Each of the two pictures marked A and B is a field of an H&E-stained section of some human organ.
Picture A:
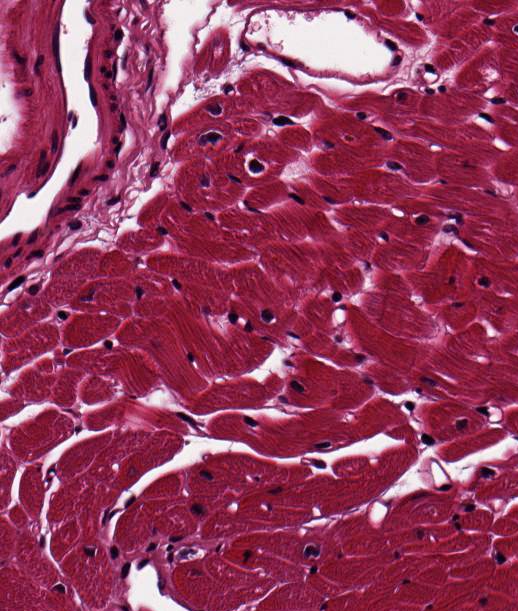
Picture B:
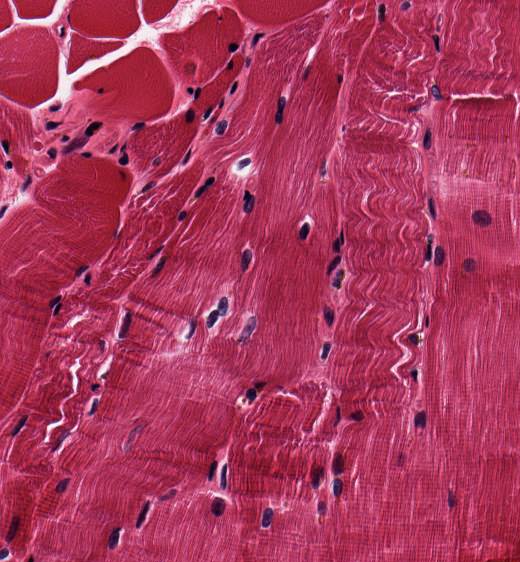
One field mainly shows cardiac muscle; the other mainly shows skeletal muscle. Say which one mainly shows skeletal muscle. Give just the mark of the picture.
B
